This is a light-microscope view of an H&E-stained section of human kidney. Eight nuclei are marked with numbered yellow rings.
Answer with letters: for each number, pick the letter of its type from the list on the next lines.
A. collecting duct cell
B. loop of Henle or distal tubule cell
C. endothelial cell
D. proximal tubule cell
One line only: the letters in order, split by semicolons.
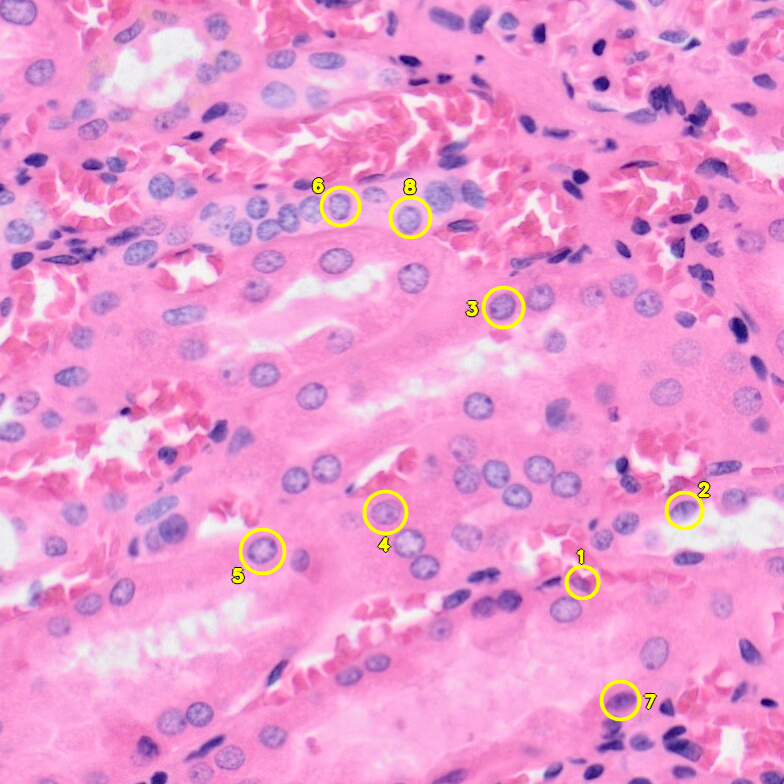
C; B; D; D; D; A; D; A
